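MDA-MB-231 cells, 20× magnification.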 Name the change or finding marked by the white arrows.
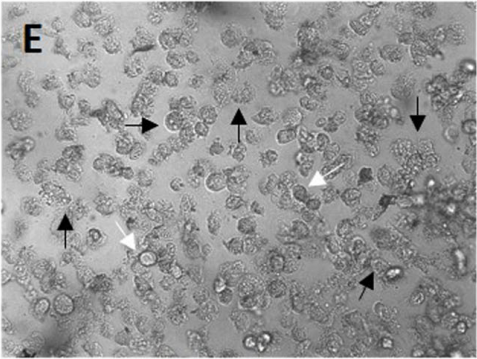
Rounded shape.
